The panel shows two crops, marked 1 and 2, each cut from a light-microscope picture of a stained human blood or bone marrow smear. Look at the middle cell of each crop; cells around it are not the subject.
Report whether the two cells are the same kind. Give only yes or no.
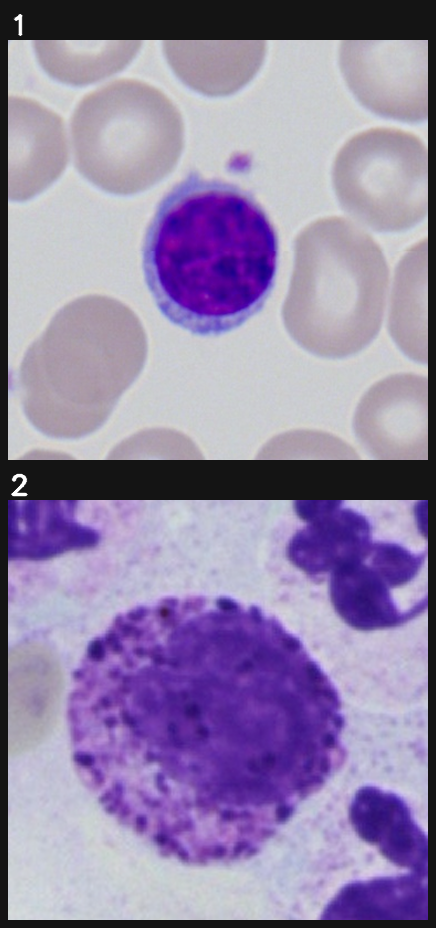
no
